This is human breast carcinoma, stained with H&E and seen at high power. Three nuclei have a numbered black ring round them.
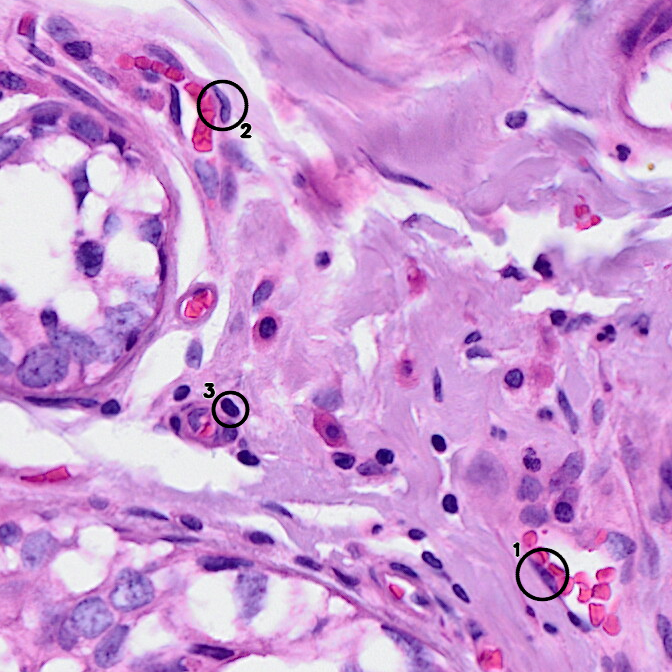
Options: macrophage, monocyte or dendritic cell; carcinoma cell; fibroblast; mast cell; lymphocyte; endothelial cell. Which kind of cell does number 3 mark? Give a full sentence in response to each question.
The cell identified by the number 3 is a lymphocyte.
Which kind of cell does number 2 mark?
The cell carrying label 2 is identified as an endothelial cell.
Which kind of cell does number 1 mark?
Nucleus 1 in this section belongs to an endothelial cell.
